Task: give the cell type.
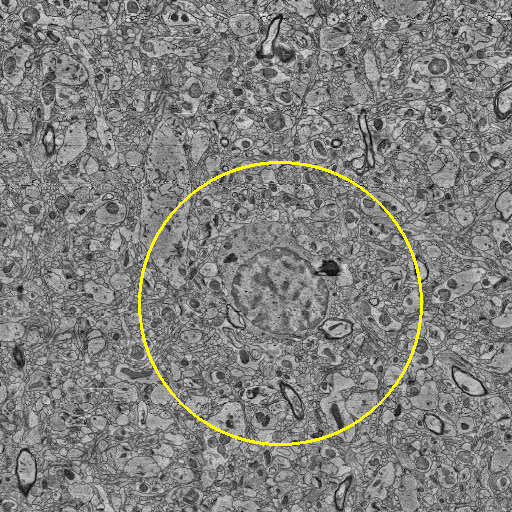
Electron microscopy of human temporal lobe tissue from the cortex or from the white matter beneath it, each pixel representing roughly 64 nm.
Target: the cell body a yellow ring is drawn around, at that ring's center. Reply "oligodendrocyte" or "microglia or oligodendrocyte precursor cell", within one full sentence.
In this picture, the cell whose body lies at the ring's center is an oligodendrocyte.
